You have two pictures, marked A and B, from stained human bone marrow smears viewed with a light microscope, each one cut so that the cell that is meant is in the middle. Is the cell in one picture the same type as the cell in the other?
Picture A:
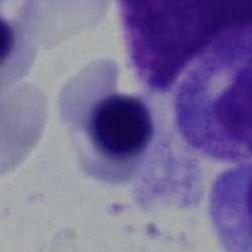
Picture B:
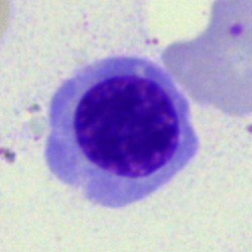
yes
